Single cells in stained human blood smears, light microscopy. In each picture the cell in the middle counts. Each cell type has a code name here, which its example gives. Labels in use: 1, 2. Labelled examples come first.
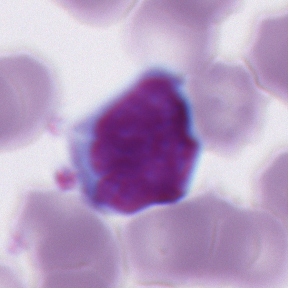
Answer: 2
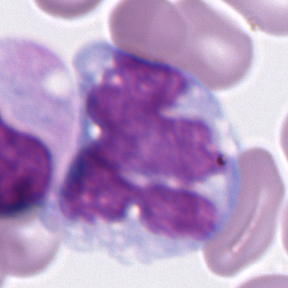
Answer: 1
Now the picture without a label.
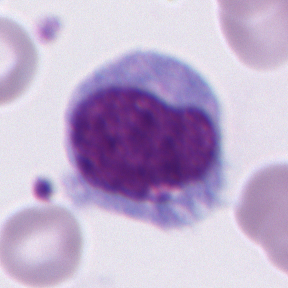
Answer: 1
